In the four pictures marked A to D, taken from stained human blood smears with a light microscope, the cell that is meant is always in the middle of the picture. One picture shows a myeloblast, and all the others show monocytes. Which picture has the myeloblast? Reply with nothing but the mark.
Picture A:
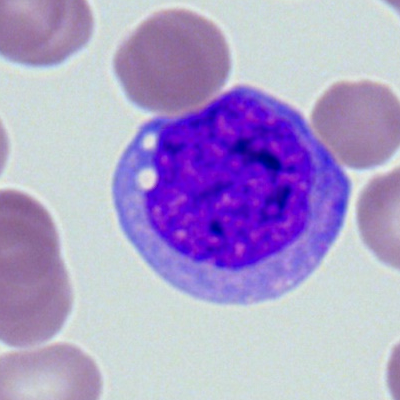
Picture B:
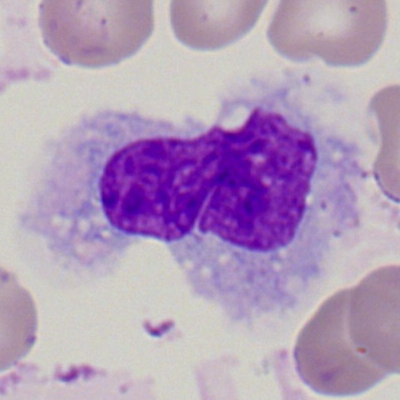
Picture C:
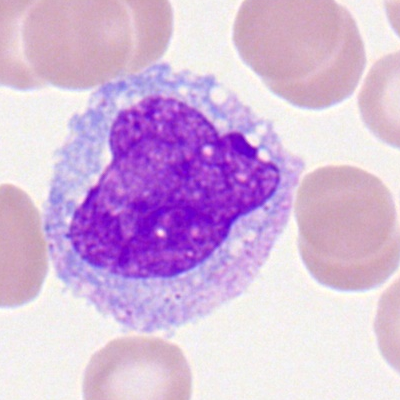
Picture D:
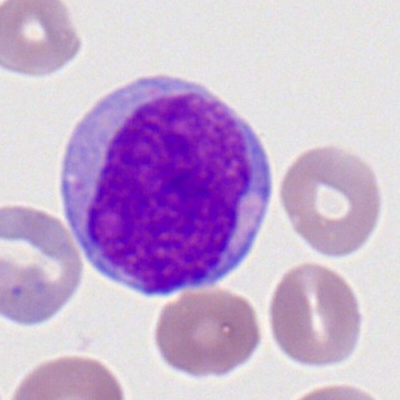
D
